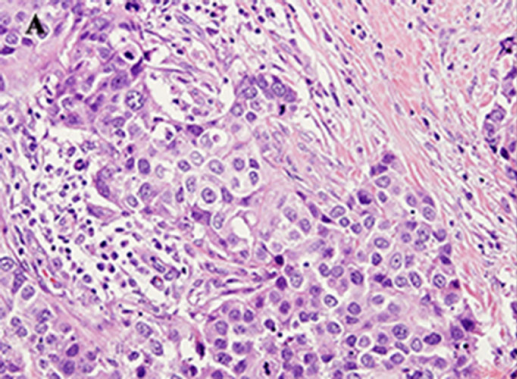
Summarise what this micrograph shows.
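This is a tumor seen at high power, made of large tumor cells lying in nests and sheets. The tumor cells are polygonal, with ample pink to lilac cytoplasm and large round to oval nuclei, many with open chromatin and a visible nucleolus. The nuclei vary in size and some are crowded and darkly stained. Between the nests run bands of pink fibrous stroma with slender spindle-shaped nuclei, most clearly at the upper right. Small, dark, round nuclei of other cells are scattered among and beside the tumor nests.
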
